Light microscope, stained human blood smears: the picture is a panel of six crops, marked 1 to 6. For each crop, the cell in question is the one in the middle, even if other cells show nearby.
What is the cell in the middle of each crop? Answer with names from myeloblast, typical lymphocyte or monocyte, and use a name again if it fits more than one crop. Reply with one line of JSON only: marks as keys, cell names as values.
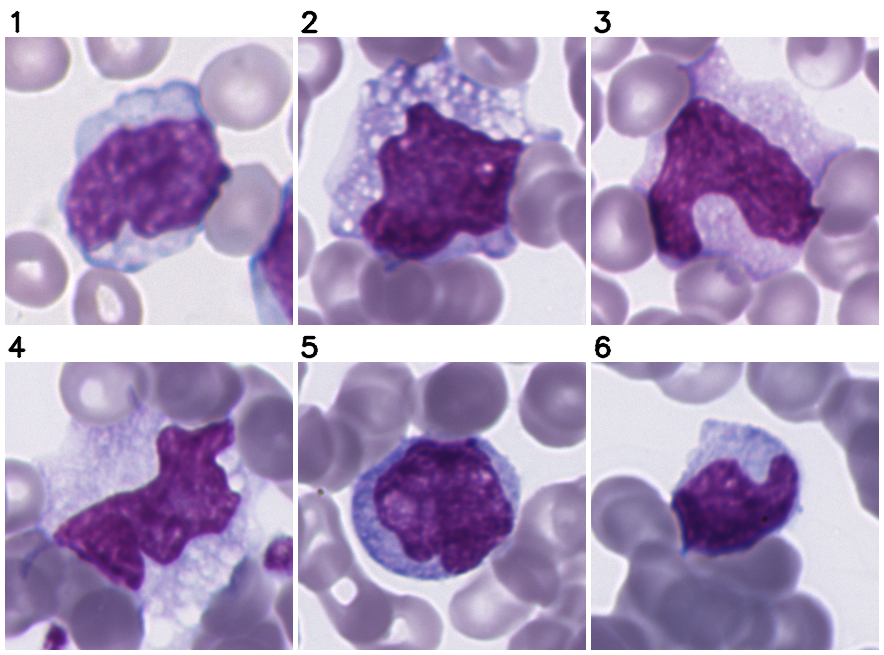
{"1": "myeloblast", "2": "monocyte", "3": "monocyte", "4": "monocyte", "5": "monocyte", "6": "typical lymphocyte"}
